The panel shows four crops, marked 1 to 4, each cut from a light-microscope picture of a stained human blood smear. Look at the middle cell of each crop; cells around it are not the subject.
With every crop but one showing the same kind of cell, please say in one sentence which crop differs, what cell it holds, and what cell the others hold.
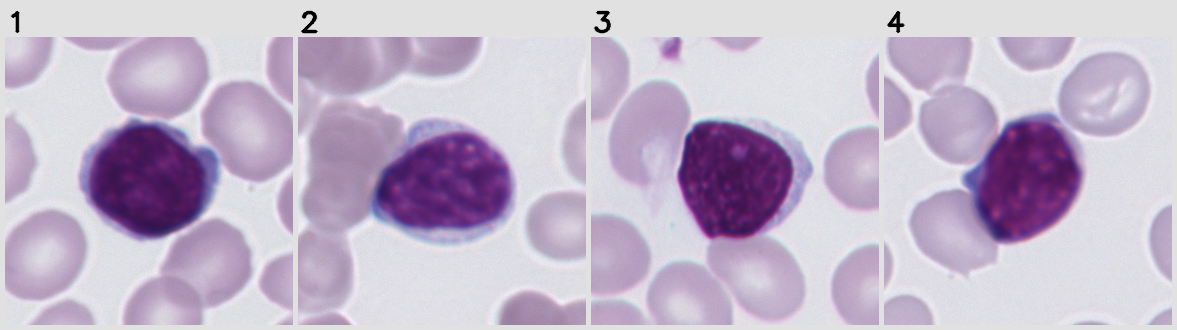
In crop 2 the central cell is a large granular lymphocyte, whereas the other crops all contain typical lymphocytes.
